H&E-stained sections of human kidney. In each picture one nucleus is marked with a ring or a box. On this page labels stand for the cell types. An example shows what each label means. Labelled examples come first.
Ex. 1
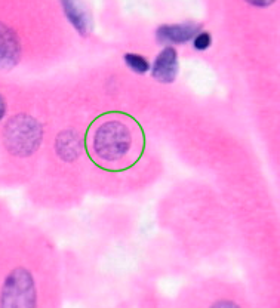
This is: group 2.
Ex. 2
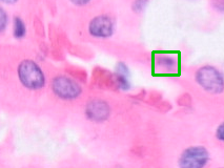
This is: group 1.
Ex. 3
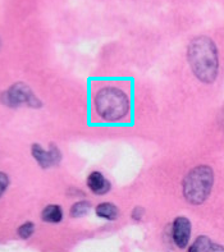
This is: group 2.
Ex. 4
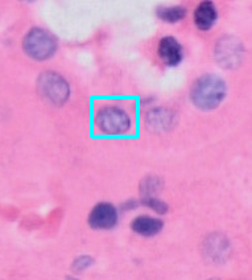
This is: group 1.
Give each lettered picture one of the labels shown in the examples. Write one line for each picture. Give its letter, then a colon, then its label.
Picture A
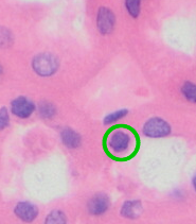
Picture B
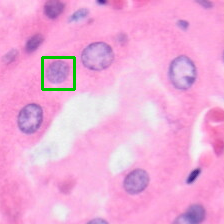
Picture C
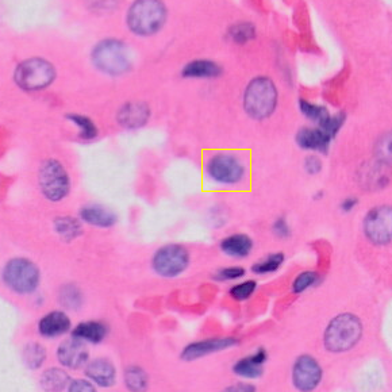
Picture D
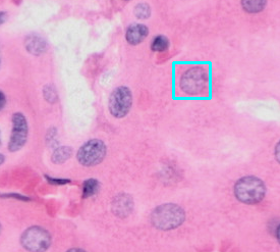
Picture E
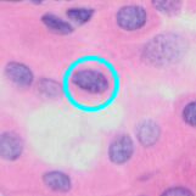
A: group 1.
B: group 2.
C: group 1.
D: group 2.
E: group 1.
